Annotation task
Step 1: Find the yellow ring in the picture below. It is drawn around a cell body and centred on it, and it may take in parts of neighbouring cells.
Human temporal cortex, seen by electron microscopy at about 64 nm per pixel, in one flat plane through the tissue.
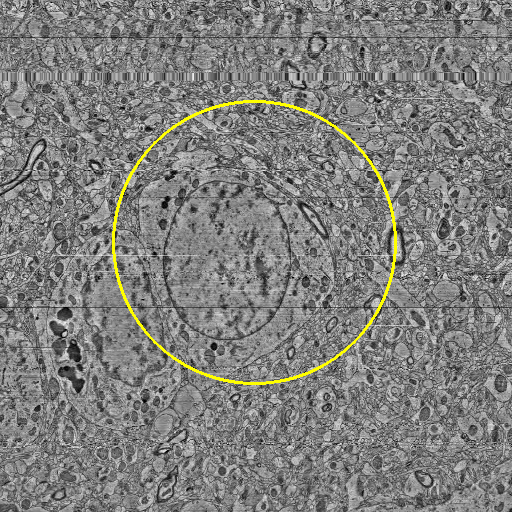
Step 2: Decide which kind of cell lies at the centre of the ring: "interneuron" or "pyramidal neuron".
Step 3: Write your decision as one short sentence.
The kind of cell at the ring's centre is a pyramidal neuron.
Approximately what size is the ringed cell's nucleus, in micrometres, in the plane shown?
In this plane, the nucleus of the cell at the centre of the ring measures about 11 by 8 micrometres.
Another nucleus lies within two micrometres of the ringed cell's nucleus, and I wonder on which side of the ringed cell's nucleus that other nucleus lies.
The other nucleus is positioned to the left of it.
